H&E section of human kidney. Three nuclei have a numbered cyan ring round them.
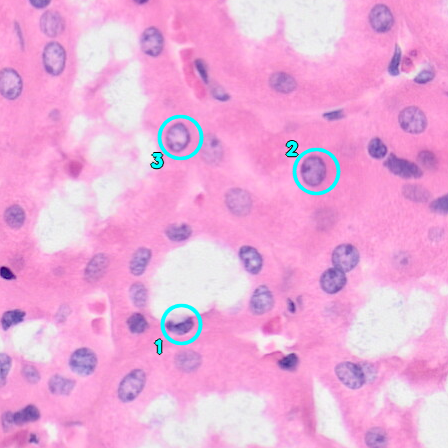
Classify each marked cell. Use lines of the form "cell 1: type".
cell 1: loop of Henle or distal tubule cell
cell 2: proximal tubule cell
cell 3: proximal tubule cell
